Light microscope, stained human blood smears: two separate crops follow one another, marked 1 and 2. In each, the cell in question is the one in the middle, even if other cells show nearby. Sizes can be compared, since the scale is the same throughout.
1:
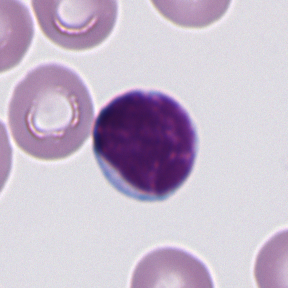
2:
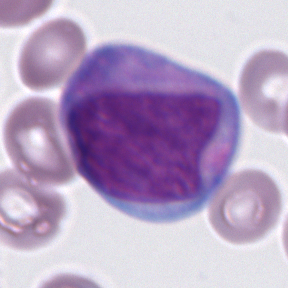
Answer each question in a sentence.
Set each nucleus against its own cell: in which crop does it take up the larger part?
Of the two, the nucleus in crop 1 makes up the greater part of its cell.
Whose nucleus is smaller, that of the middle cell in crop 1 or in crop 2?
The nucleus in crop 1 is smaller; the one in crop 2 has about 2 times its area.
